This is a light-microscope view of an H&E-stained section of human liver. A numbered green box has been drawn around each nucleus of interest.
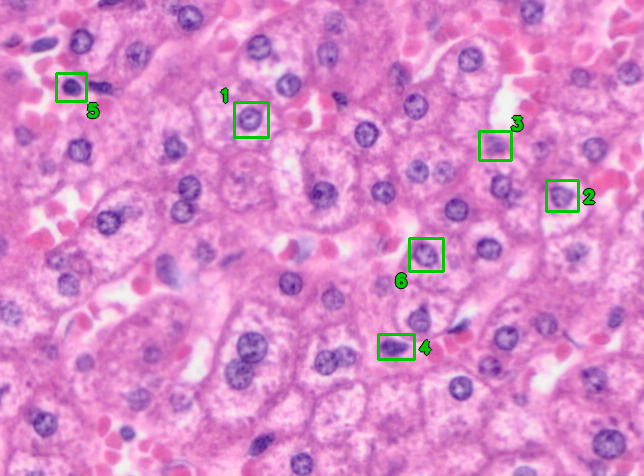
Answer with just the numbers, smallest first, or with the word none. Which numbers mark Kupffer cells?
4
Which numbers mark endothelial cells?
3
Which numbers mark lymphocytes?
5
